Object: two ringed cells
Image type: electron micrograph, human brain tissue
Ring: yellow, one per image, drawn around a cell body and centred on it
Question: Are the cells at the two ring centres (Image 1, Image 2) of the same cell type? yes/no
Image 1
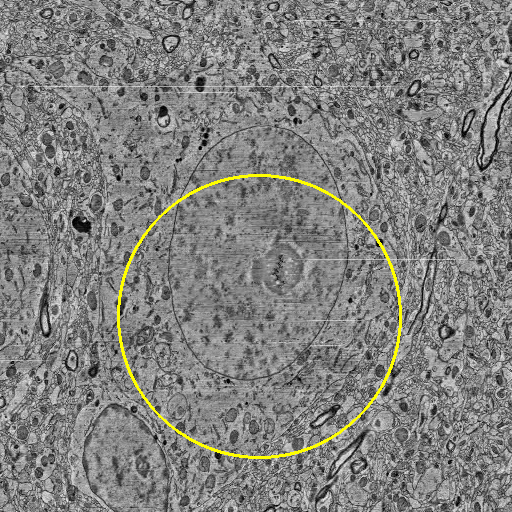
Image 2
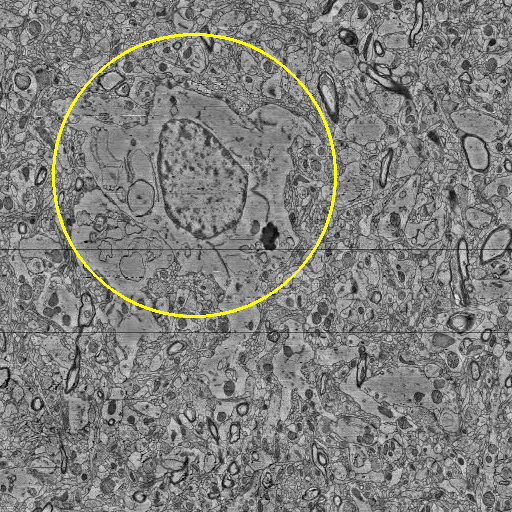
no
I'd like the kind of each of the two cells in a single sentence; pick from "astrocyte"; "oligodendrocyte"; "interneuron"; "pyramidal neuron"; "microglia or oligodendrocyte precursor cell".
The first ring marks a pyramidal neuron, and the second ring marks an astrocyte.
